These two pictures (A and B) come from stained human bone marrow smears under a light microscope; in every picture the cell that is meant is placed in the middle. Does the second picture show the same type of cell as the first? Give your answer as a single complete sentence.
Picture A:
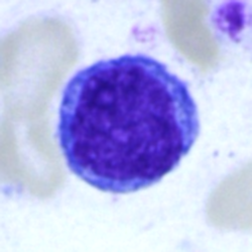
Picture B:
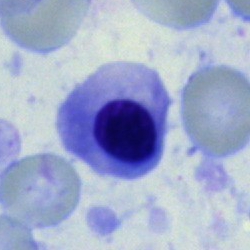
No. Picture A shows a lymphocyte, but picture B shows an erythroblast.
